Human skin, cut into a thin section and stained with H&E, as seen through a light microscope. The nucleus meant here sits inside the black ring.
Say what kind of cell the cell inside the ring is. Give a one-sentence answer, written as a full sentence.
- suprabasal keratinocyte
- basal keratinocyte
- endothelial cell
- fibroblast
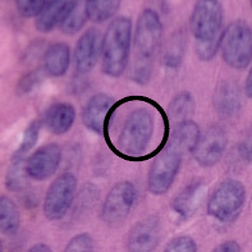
It is as a suprabasal keratinocyte that the cell inside the ring is classified.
